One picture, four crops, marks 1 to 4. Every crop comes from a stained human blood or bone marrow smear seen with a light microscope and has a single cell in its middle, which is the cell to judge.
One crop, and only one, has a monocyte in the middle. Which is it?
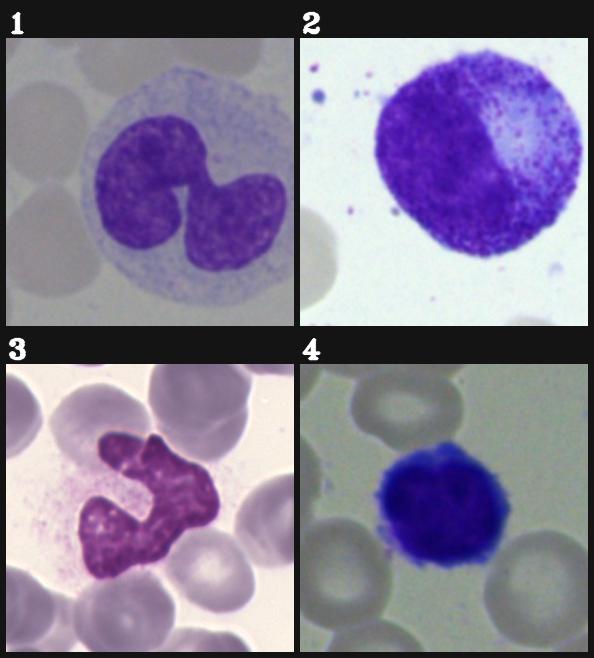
1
